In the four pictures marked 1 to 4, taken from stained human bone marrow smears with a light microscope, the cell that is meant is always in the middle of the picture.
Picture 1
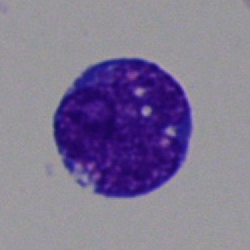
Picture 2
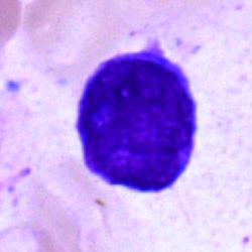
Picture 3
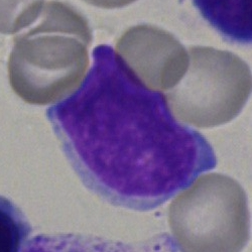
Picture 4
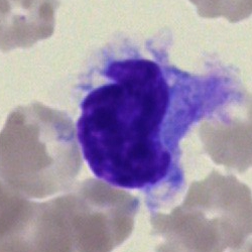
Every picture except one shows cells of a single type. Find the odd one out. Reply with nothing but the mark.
4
